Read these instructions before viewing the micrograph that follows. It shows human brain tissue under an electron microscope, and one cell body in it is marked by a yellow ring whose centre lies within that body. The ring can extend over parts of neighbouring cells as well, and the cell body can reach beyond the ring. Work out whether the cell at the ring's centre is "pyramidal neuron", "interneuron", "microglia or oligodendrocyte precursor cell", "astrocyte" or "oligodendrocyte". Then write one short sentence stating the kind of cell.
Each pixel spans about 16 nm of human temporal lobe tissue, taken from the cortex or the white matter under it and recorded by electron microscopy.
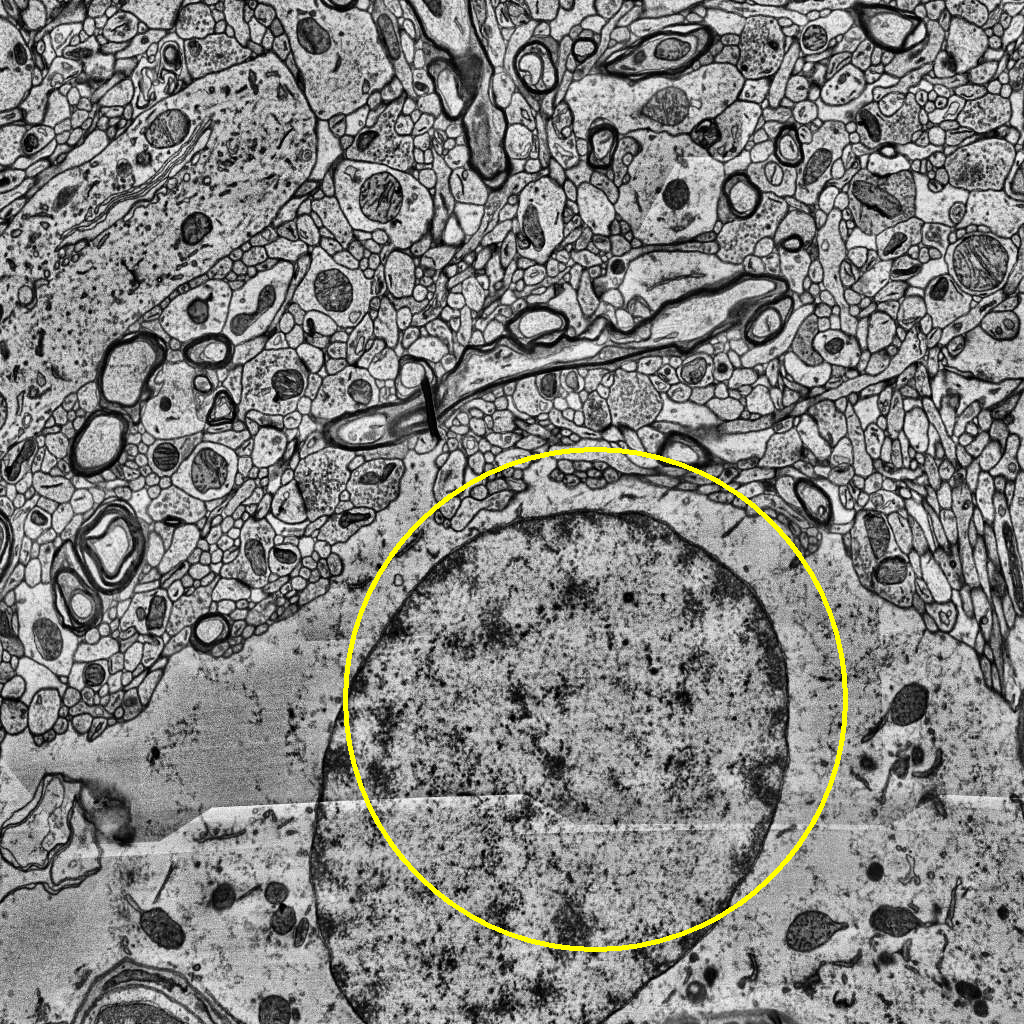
The cell at the ring's centre is an astrocyte.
